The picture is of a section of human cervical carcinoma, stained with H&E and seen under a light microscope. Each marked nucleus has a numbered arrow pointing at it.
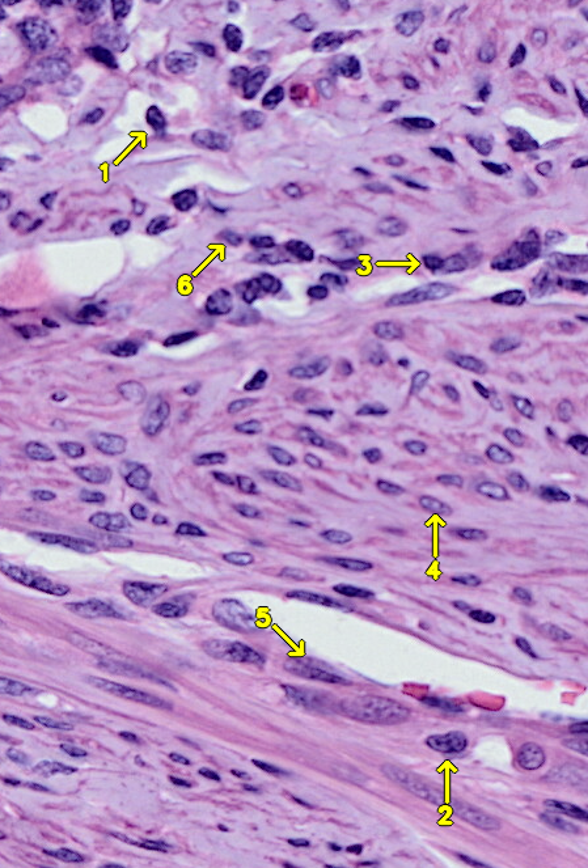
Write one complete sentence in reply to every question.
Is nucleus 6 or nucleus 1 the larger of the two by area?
Nucleus 1 is larger, with an area about 2 times that of nucleus 6.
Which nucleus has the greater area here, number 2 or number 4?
Nucleus 2 is larger, with an area about 2 times that of nucleus 4.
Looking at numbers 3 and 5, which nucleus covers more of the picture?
Nucleus 5 is larger, with an area about 4 times that of nucleus 3.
